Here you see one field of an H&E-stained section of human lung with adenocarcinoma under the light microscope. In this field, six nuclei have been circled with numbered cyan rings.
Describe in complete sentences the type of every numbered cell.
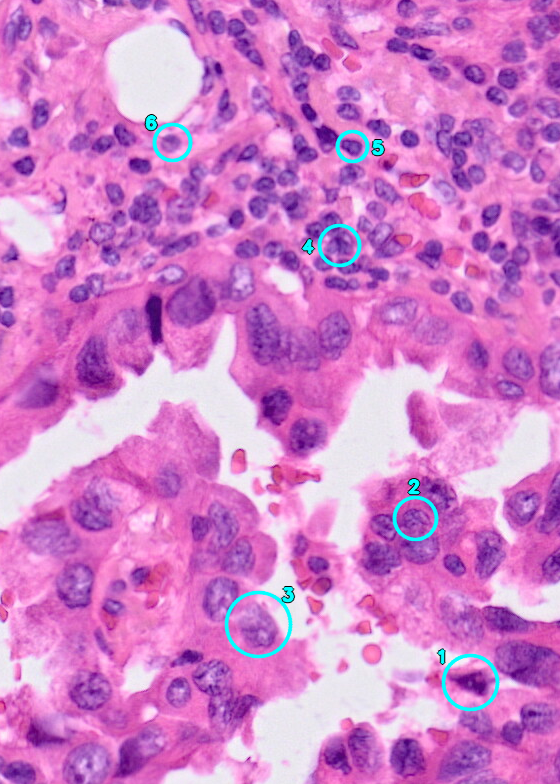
Cell 1 is a carcinoma cell, cell 2 is a carcinoma cell, cell 3 is a carcinoma cell, cell 4 is a lymphocyte, cell 5 is a lymphocyte and cell 6 is a lymphocyte.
